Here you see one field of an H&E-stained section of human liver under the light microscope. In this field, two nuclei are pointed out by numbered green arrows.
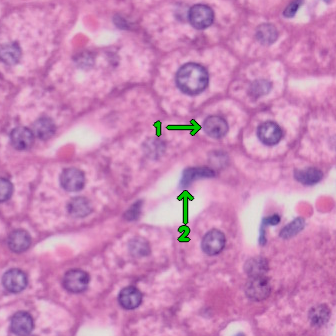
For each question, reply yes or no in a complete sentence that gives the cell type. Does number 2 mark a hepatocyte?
No, as for cell 2, it is a Kupffer cell and not a hepatocyte.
